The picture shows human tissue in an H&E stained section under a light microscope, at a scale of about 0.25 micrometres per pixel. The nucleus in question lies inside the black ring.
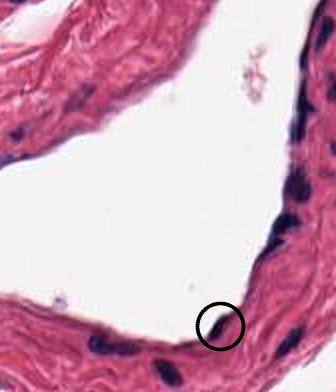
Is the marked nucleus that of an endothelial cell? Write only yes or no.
yes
